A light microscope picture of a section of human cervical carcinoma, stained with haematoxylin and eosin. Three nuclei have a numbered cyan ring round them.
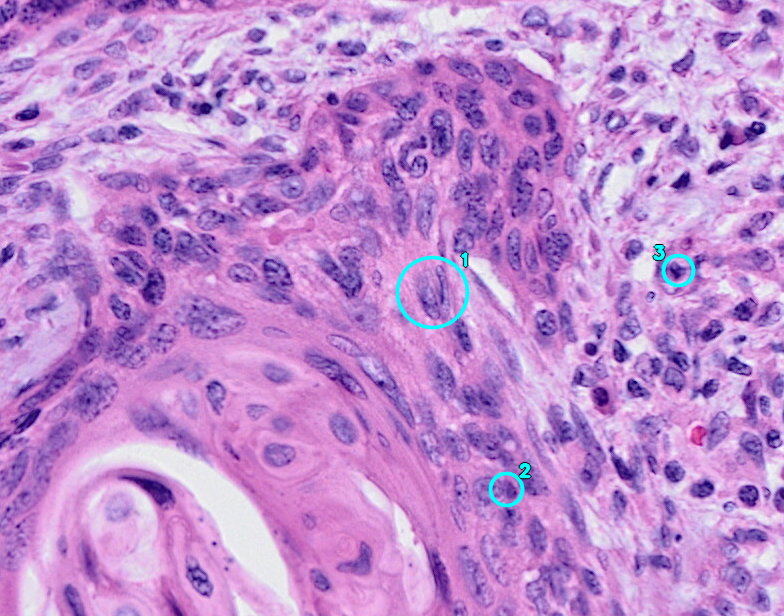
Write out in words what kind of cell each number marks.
Cell 1 is a squamous carcinoma cell, cell 2 is a squamous carcinoma cell and cell 3 is a lymphocyte.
